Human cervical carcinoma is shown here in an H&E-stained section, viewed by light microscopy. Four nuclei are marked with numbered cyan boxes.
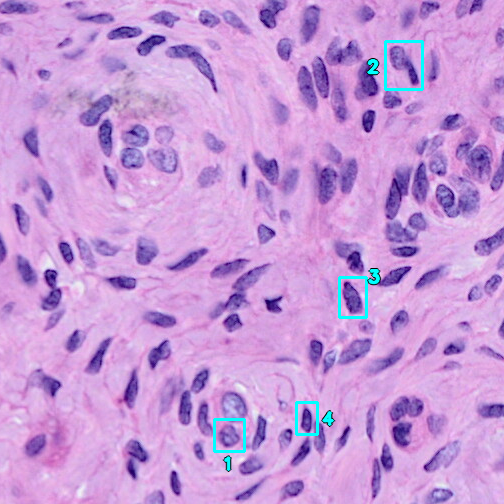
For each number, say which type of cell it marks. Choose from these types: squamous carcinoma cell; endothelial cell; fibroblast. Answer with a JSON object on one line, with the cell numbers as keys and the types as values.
{"1": "endothelial cell", "2": "fibroblast", "3": "fibroblast", "4": "fibroblast"}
